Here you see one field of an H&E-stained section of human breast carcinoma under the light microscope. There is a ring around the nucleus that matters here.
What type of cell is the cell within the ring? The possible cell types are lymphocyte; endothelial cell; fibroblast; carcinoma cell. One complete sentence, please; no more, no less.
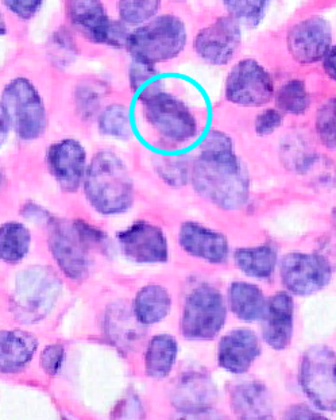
Placed in its cell category, the cell within the ring is a carcinoma cell.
